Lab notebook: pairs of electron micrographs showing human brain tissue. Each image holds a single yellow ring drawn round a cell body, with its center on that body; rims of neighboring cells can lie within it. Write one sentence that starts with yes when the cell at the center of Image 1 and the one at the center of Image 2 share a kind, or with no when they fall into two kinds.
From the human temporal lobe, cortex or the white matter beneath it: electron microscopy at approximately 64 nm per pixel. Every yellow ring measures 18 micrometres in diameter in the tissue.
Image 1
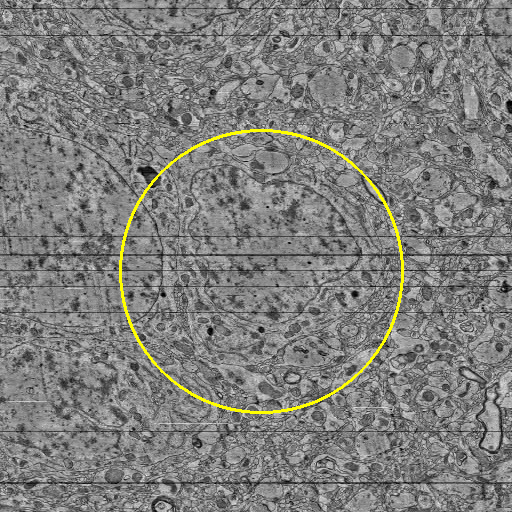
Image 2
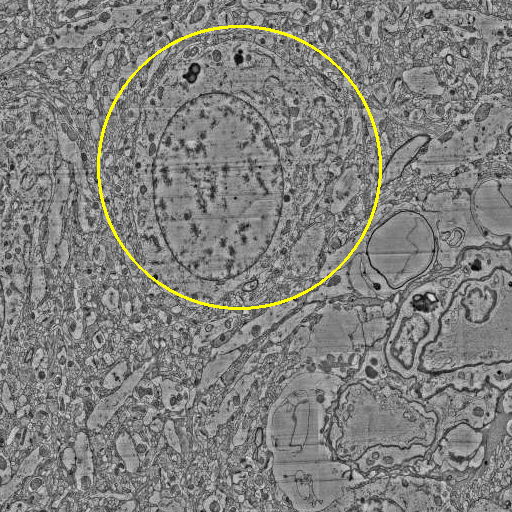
No, the centered cell in Image 1 and the centered cell in Image 2 are of two kinds.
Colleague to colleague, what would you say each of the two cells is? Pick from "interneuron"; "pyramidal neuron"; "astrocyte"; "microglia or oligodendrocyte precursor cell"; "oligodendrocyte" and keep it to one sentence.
The cell in the first picture is an interneuron; the second picture's cell is a pyramidal neuron.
